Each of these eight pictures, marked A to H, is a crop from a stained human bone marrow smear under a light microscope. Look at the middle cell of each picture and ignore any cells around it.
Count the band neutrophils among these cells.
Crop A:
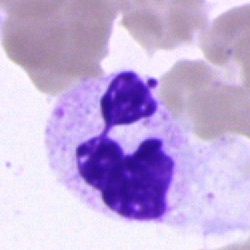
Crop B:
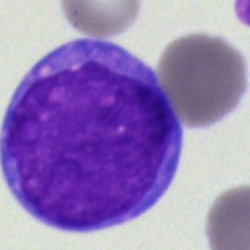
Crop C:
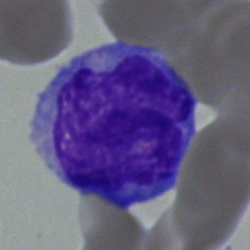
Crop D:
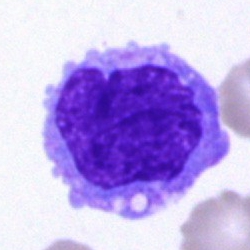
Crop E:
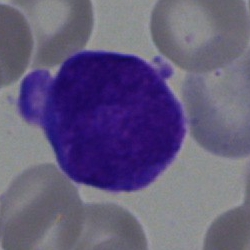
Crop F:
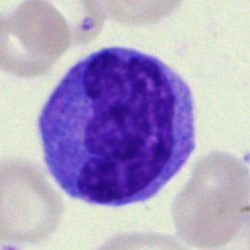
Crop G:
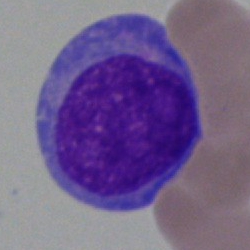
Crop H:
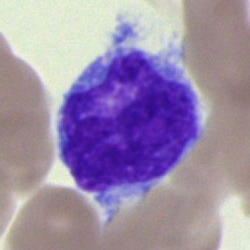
0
